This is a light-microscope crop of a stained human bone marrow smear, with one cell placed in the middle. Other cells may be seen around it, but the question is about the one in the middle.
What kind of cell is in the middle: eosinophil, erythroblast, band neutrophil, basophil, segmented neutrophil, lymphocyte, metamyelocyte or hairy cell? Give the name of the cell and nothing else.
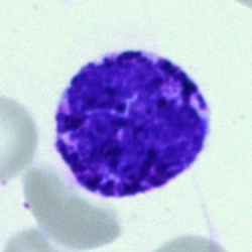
basophil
